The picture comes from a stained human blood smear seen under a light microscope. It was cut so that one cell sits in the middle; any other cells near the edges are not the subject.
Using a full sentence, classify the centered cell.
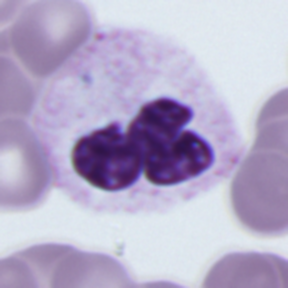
The cell occupying the middle of the crop is a neutrophil.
